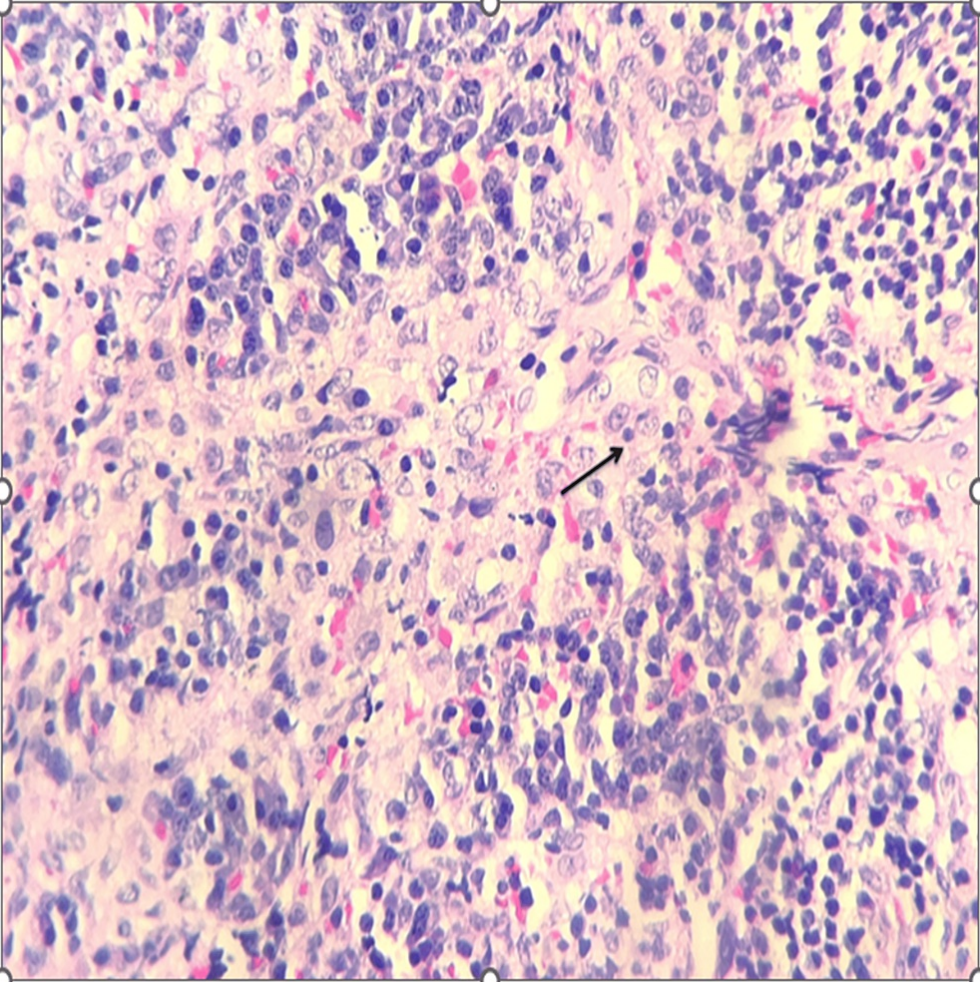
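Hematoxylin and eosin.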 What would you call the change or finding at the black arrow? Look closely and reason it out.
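Emperipolesis. The arrow tips at a large cell with pale, abundant cytoplasm. A small dark round nucleus sits inside the pale cytoplasm of that large cell.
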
